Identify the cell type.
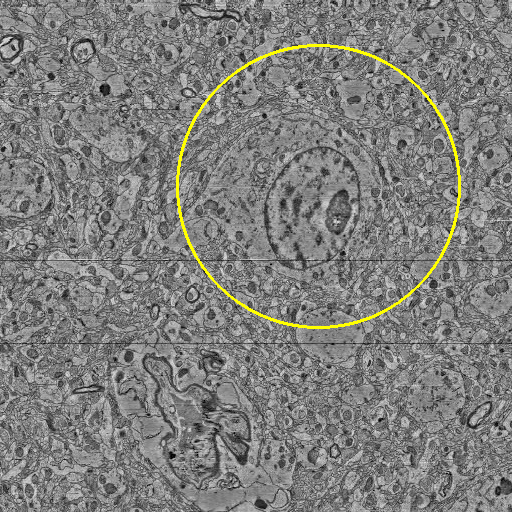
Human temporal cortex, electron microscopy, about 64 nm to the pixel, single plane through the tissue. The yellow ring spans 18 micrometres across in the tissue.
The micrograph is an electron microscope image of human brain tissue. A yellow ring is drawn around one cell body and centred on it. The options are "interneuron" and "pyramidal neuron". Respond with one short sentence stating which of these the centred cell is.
The cell body in the ring belongs to a pyramidal neuron.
